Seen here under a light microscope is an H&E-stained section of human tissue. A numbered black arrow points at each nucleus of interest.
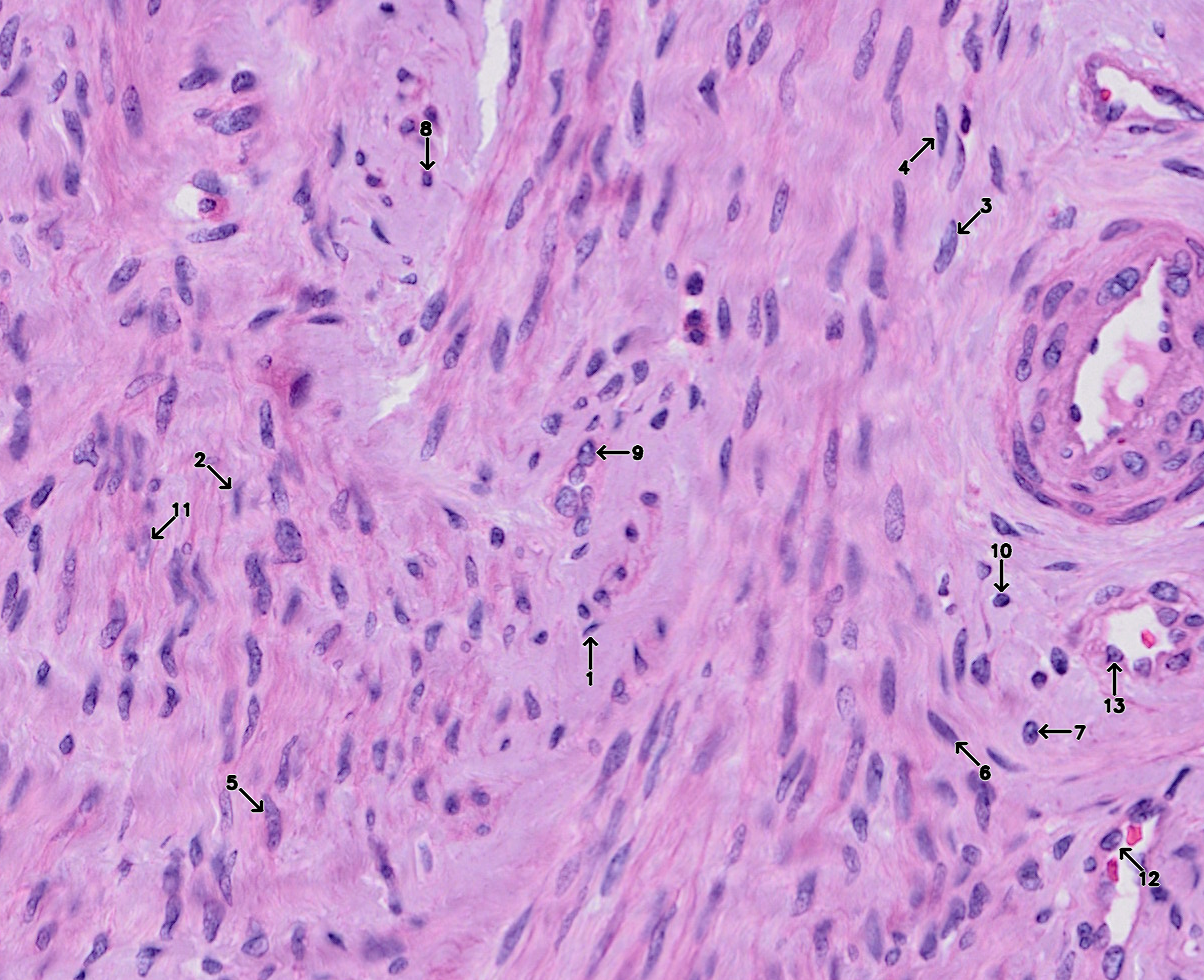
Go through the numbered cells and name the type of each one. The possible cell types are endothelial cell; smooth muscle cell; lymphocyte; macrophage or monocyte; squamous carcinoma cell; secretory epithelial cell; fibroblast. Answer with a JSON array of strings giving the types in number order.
["fibroblast", "fibroblast", "fibroblast", "fibroblast", "smooth muscle cell", "fibroblast", "fibroblast", "smooth muscle cell", "endothelial cell", "fibroblast", "smooth muscle cell", "endothelial cell", "endothelial cell"]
